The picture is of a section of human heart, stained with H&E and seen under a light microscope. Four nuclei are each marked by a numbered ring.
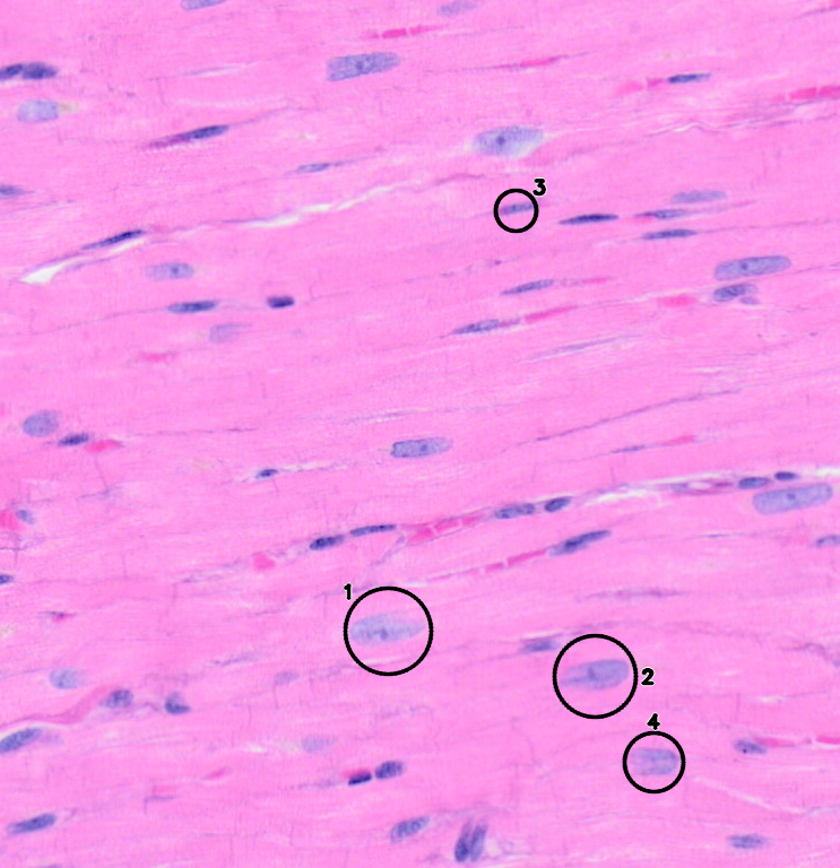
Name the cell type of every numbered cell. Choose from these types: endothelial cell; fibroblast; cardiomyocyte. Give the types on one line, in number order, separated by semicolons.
cardiomyocyte; cardiomyocyte; endothelial cell; cardiomyocyte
